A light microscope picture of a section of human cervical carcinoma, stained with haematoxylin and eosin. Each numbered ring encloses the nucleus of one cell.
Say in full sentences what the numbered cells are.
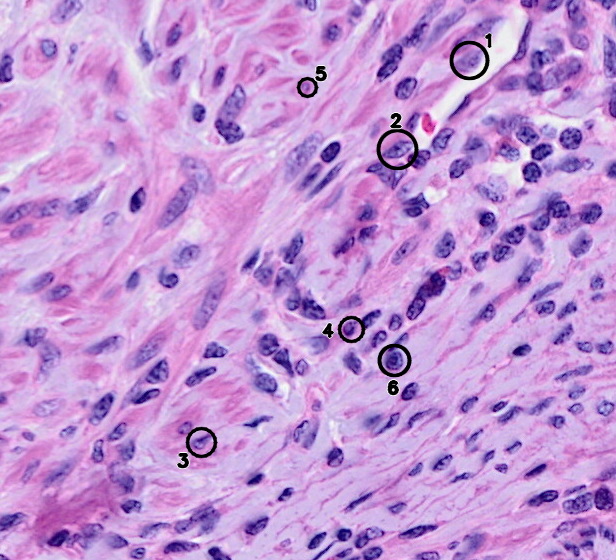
Cell 1 is an endothelial cell, cell 2 is an endothelial cell, cell 3 is a smooth muscle cell, cell 4 is a lymphocyte, cell 5 is a smooth muscle cell and cell 6 is a lymphocyte.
